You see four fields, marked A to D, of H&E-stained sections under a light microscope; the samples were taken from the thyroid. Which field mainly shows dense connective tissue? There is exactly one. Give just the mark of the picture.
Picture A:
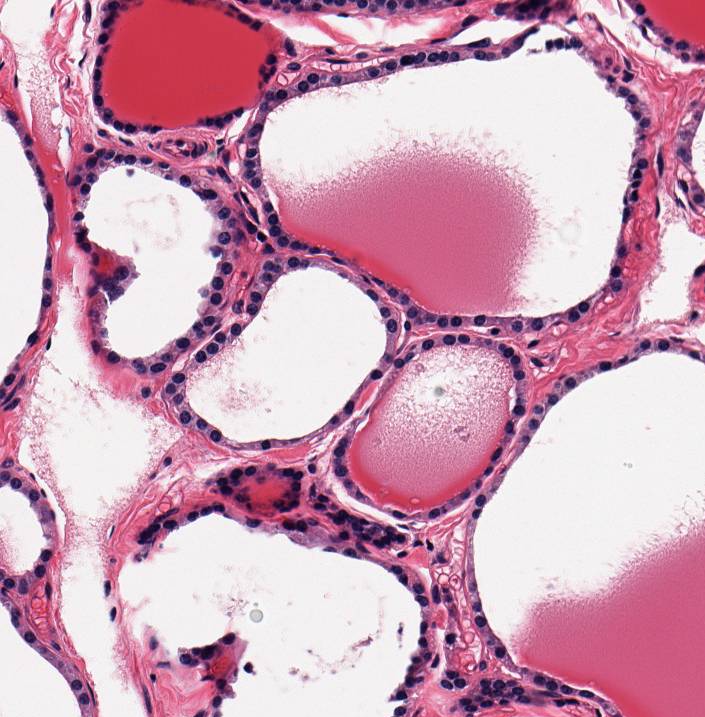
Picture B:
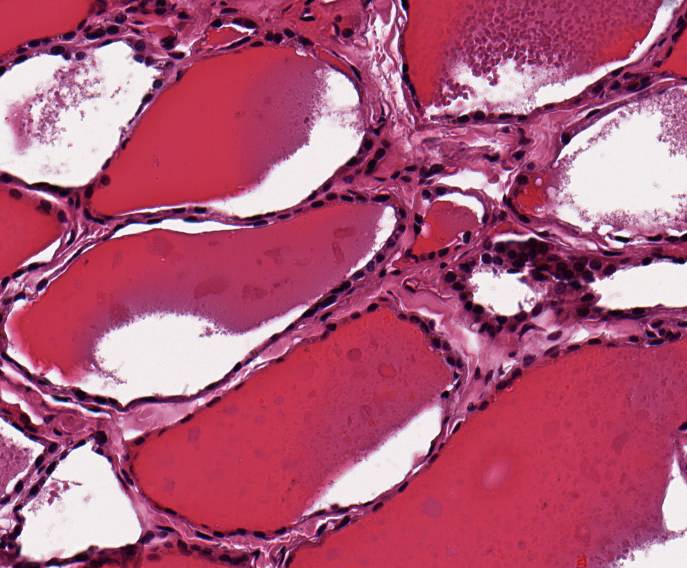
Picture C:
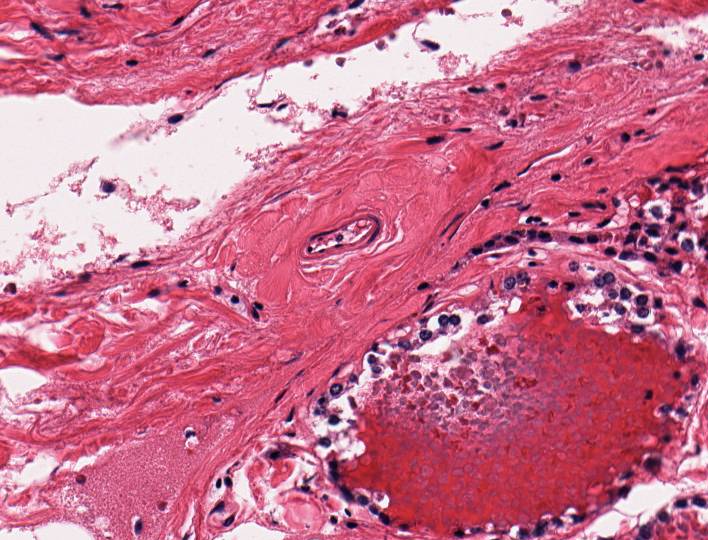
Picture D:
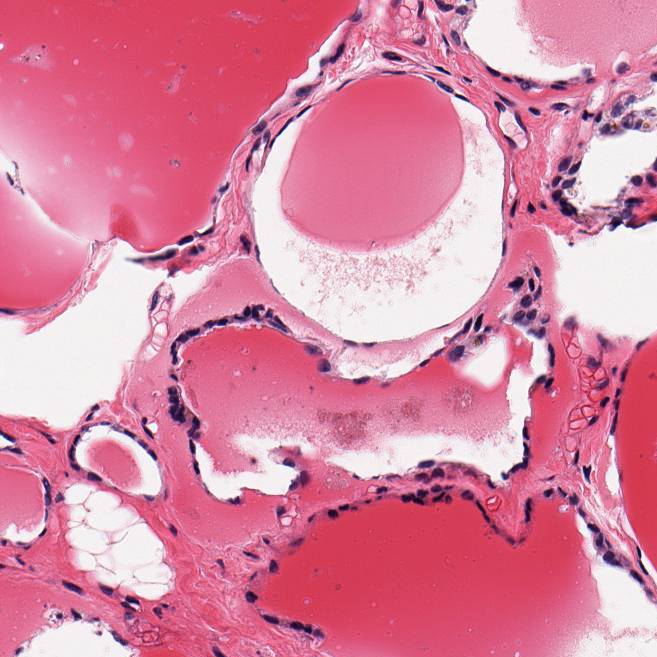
C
